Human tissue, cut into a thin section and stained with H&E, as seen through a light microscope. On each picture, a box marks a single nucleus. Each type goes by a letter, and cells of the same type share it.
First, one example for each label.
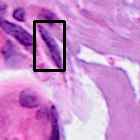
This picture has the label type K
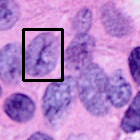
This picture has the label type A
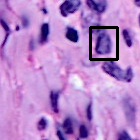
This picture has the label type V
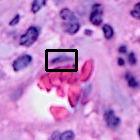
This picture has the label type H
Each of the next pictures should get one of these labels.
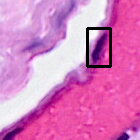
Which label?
type H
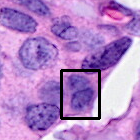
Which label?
type A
